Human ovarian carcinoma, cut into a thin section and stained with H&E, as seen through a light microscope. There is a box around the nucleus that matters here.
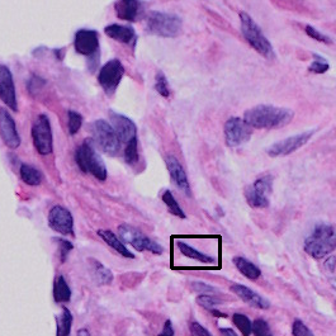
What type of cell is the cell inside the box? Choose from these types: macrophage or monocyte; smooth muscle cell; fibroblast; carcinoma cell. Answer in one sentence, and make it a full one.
It is as a fibroblast that the cell inside the box is classified.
